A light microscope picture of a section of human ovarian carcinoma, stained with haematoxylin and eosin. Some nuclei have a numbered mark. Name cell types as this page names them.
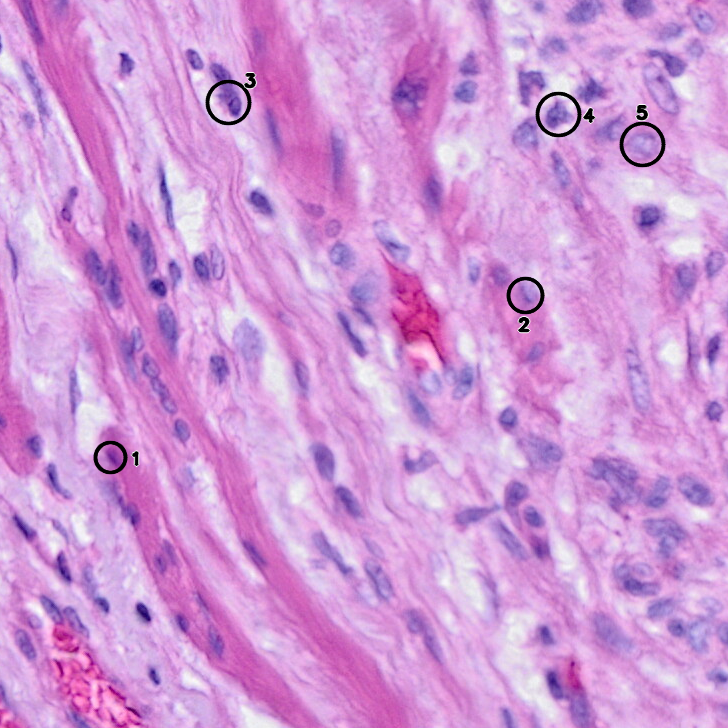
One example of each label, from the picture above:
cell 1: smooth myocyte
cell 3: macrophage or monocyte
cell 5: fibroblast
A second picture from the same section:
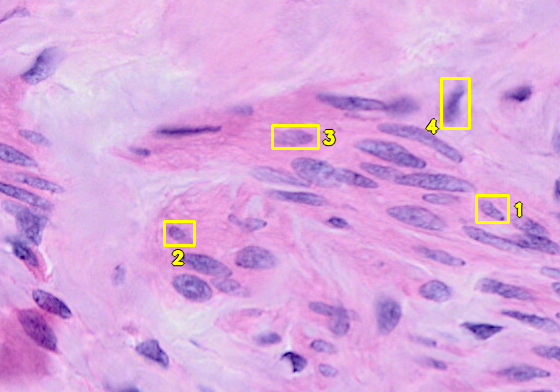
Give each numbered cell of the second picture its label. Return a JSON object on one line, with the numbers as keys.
{"1": "smooth myocyte", "2": "smooth myocyte", "3": "smooth myocyte", "4": "fibroblast"}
